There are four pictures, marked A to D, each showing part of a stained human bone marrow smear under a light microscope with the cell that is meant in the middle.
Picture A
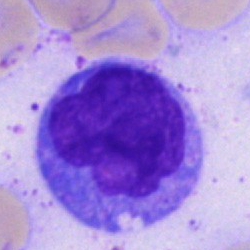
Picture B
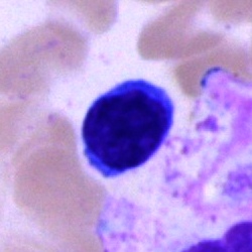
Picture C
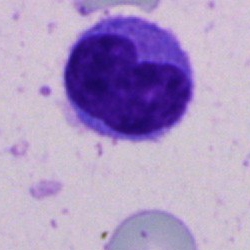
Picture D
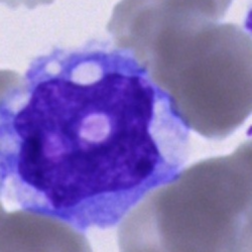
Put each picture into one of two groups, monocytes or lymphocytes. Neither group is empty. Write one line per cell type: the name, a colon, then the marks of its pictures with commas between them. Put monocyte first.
monocyte: A, C, D
lymphocyte: B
